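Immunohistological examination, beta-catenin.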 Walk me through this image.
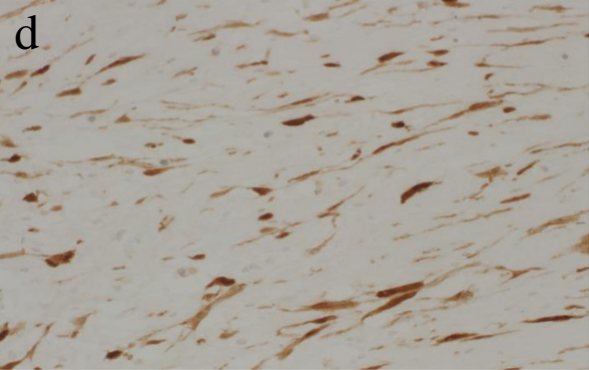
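Spindle-shaped cells with brown-stained elongated nuclei in a pale, unstained fibrous background. The stained nuclei are slender, tapered and of varying length, some plump and oval, oriented mostly in parallel along one axis. Staining intensity varies from dark brown to faint tan, and a few nuclei appear unstained or pale blue. Thin brown streaks extend from some nuclei along the cells' long axis. The cells are dispersed sparsely with wide spaces of unstained matrix between them; no glands or other structured tissue are seen.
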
